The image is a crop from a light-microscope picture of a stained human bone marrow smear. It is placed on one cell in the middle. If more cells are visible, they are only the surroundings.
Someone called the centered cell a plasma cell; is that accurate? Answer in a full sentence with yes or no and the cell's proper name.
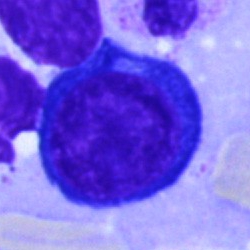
No, the middle of the crop holds a proerythroblast, not a plasma cell.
